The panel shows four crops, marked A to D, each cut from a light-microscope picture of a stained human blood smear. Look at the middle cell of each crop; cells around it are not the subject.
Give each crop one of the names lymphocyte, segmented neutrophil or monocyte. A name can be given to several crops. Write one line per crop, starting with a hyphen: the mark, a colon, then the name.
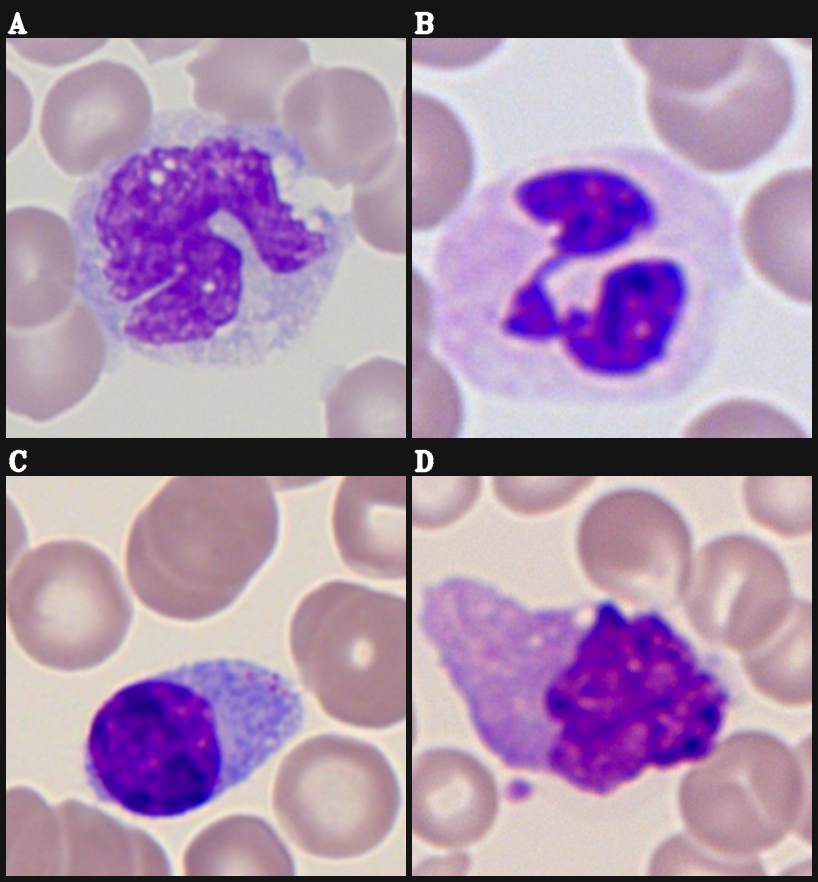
- A: monocyte
- B: segmented neutrophil
- C: lymphocyte
- D: monocyte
